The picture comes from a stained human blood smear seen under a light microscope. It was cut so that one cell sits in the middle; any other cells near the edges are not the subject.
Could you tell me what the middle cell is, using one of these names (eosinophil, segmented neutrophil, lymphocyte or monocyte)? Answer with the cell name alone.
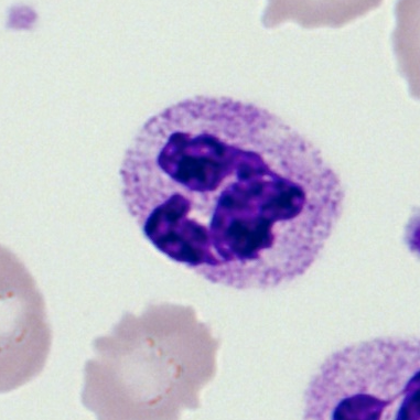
segmented neutrophil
